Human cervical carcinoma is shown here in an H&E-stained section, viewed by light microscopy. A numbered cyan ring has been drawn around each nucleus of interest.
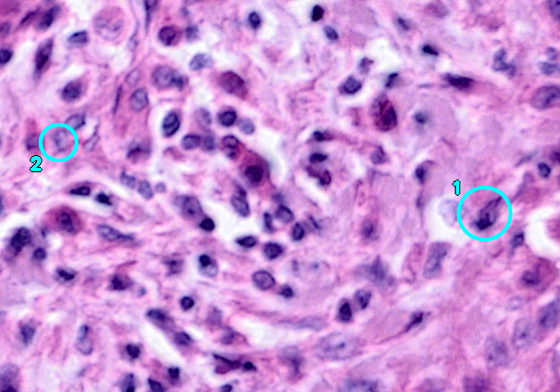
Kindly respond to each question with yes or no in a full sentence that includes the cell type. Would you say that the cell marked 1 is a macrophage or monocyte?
Yes, the cell to which number 1 refers is a macrophage or monocyte.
